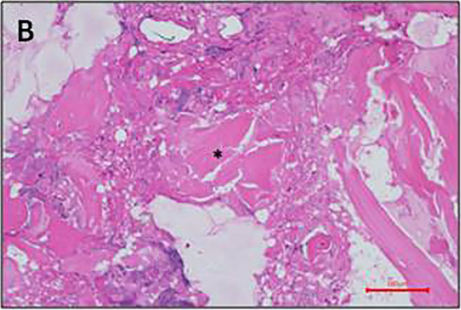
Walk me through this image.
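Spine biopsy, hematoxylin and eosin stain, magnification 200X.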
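Broad fragments of homogeneous pink matrix run through the field, and one of them is largely free of visible nuclei. Between the fragments lies a loose, pale pink stroma with scattered small purple nuclei and a few small clusters of cells. Rounded, clear, empty spaces are interspersed among the tissue.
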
